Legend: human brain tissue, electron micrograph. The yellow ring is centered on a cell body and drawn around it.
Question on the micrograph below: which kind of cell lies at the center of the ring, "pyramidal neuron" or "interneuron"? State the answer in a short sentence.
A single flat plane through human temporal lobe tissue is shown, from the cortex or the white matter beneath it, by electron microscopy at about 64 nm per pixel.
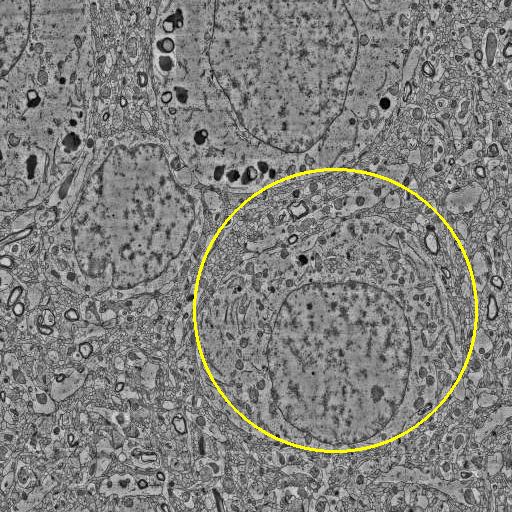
At the center of the ring lies an interneuron.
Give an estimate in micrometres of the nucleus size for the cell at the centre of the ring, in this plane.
The ringed cell's nucleus is about 10 micrometres across in this plane.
